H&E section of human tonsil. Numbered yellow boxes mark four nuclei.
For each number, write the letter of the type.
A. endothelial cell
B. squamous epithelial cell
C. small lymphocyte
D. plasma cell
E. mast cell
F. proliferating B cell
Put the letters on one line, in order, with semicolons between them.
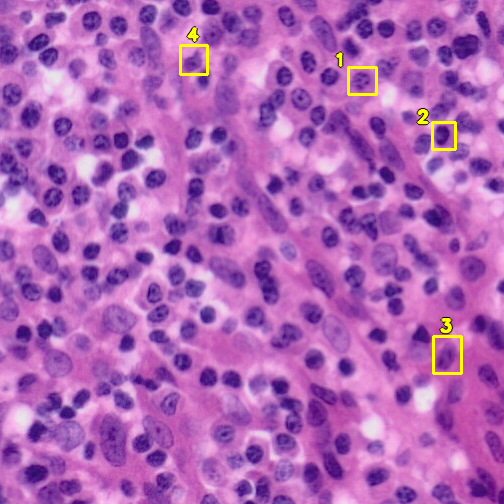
D; D; B; B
